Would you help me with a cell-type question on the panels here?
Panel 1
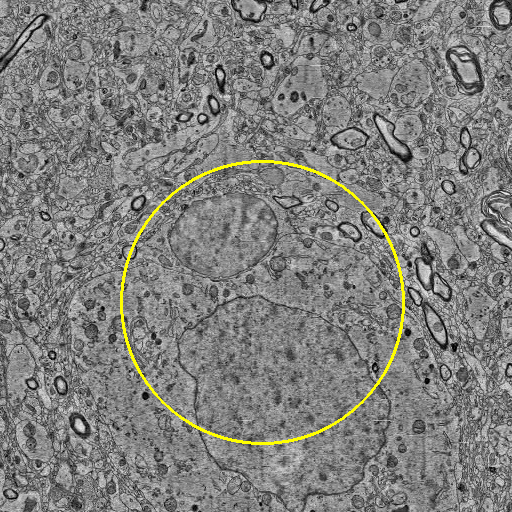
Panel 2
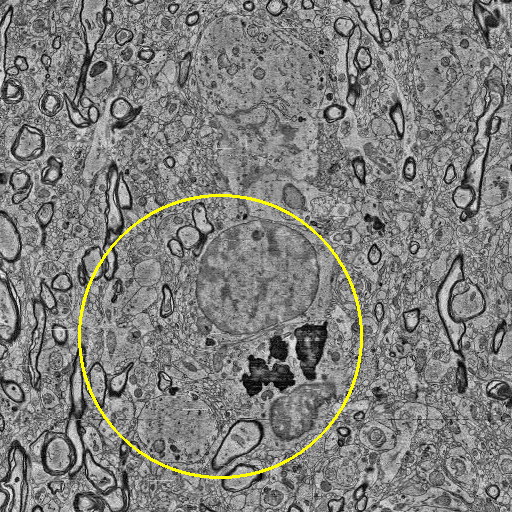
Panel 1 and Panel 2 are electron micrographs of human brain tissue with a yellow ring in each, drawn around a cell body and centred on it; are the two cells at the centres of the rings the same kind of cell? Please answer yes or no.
no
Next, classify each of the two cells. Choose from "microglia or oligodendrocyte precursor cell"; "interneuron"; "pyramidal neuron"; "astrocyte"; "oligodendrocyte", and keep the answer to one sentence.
In the first picture it is a pyramidal neuron; in the second it is an oligodendrocyte.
